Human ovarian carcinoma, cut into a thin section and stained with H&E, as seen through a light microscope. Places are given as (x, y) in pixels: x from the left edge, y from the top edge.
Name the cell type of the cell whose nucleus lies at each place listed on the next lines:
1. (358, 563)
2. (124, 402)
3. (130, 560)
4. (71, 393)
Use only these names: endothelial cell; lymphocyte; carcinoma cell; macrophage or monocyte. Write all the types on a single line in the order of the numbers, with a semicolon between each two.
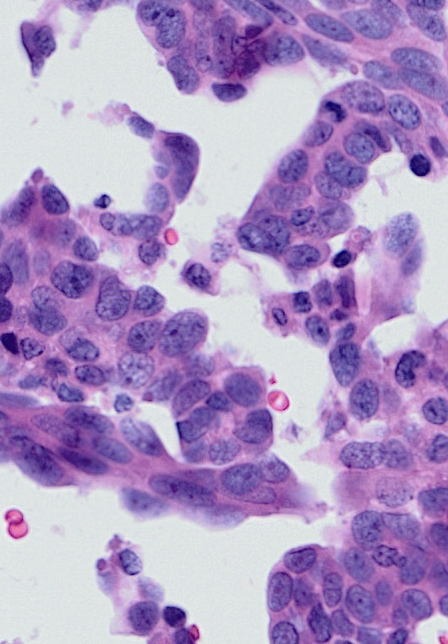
carcinoma cell; lymphocyte; macrophage or monocyte; macrophage or monocyte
